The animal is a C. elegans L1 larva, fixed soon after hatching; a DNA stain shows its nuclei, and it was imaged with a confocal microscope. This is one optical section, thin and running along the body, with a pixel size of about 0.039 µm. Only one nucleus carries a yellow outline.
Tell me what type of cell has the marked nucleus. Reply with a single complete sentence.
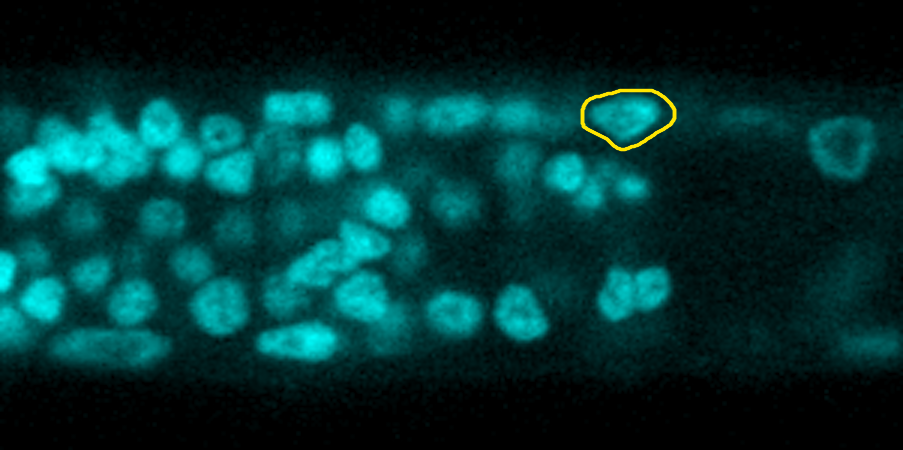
The marked nucleus belongs to a body wall muscle cell.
